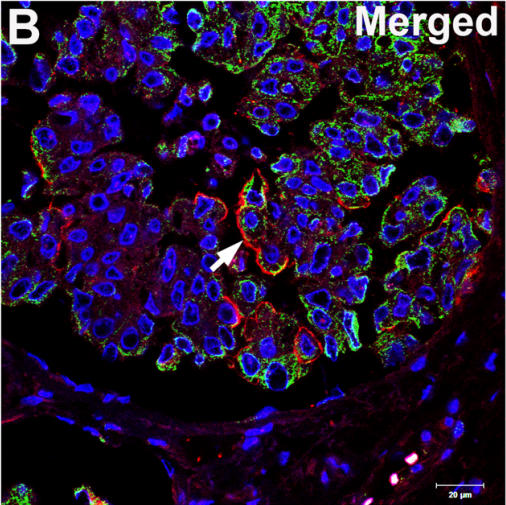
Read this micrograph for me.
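Tumour tissue made of several compact clusters of cells lying in clear spaces, surrounded by a band of stroma with elongated nuclei. The cells have round to oval blue nuclei and granular green in their cytoplasm, and red lines the outer, stroma-facing border of some clusters rather than a central lumen.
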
